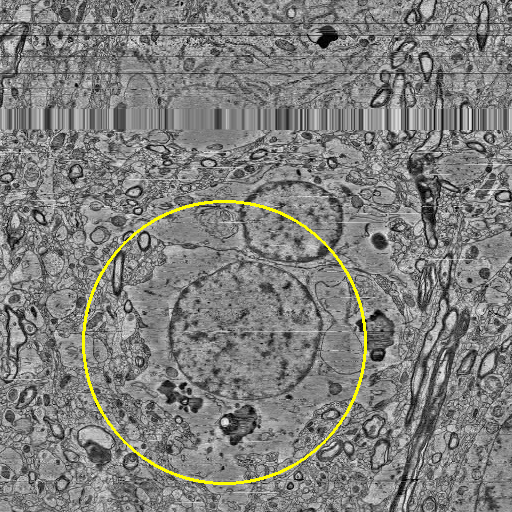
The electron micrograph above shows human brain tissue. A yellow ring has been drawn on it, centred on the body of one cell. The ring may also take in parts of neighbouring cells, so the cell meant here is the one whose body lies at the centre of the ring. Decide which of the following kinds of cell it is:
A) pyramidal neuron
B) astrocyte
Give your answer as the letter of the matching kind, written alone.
B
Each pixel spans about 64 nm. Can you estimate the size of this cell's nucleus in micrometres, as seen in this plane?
About 9 micrometres across in this plane, for the nucleus.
